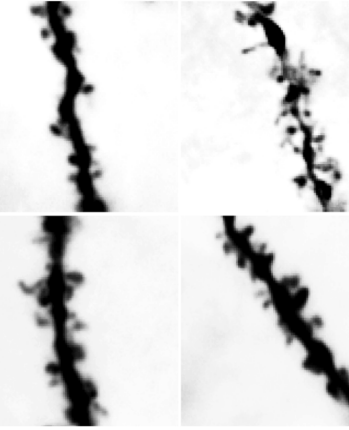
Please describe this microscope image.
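Along the sides of the shafts sit many small protrusions, the dendritic spines. Most are short knobs or rounded heads sitting close to the shaft. In the upper right segment the protrusions look more irregular, with more thin, elongated projections standing out from the shaft.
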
